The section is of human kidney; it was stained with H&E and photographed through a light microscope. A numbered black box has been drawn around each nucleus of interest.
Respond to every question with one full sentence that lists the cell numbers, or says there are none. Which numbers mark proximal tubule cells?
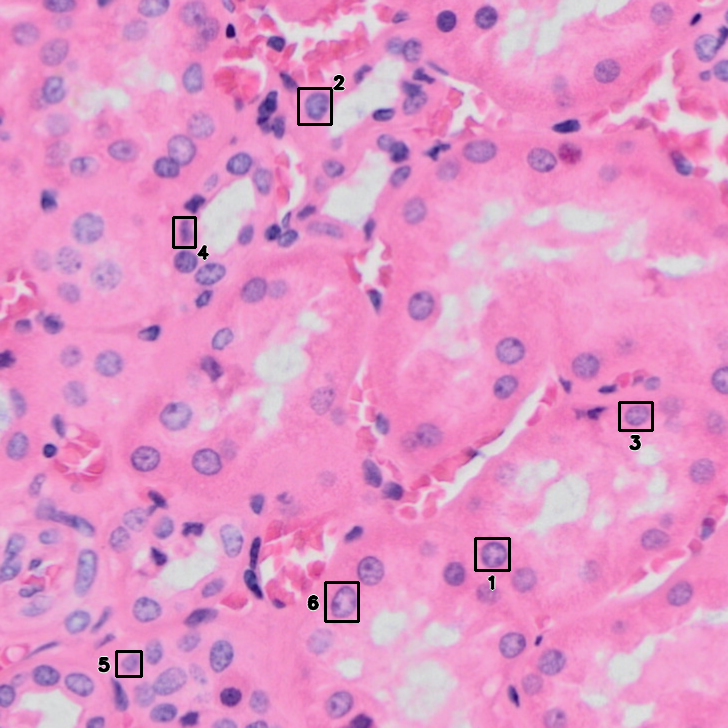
The cells the numbers 1, 3 and 6 point to are proximal tubule cells.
